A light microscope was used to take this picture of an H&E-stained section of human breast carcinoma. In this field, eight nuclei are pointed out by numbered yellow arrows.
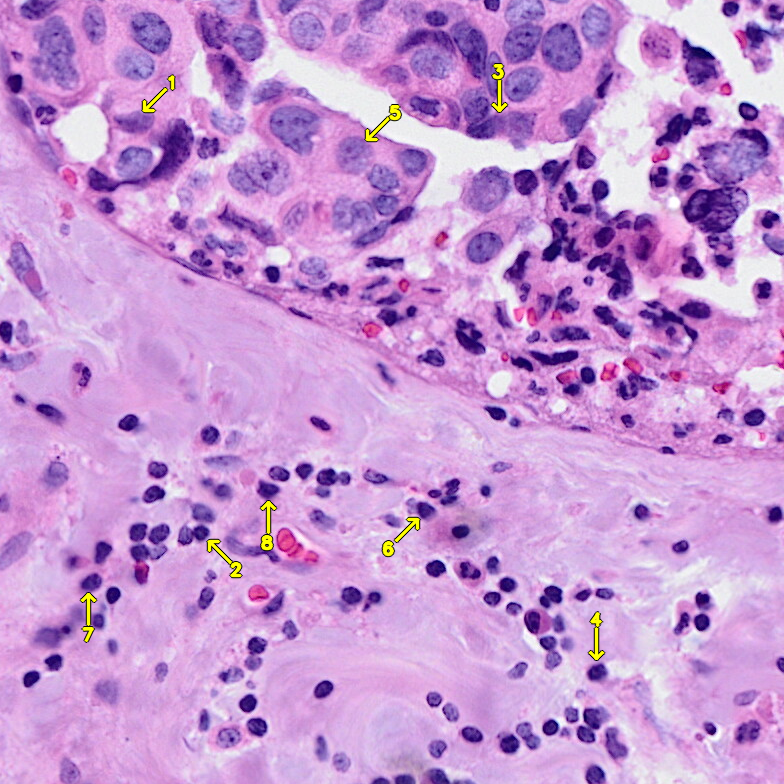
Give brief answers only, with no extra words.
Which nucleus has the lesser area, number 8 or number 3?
8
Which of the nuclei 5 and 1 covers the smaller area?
1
